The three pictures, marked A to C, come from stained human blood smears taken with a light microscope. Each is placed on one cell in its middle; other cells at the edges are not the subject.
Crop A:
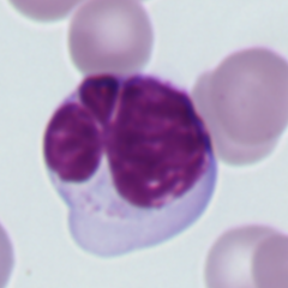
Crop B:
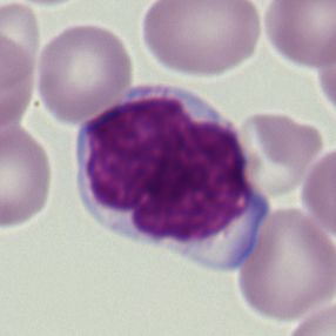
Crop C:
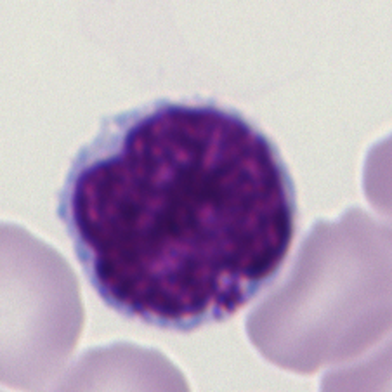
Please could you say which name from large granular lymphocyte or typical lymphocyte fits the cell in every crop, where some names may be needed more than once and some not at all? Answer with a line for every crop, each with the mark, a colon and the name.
A: large granular lymphocyte
B: large granular lymphocyte
C: typical lymphocyte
